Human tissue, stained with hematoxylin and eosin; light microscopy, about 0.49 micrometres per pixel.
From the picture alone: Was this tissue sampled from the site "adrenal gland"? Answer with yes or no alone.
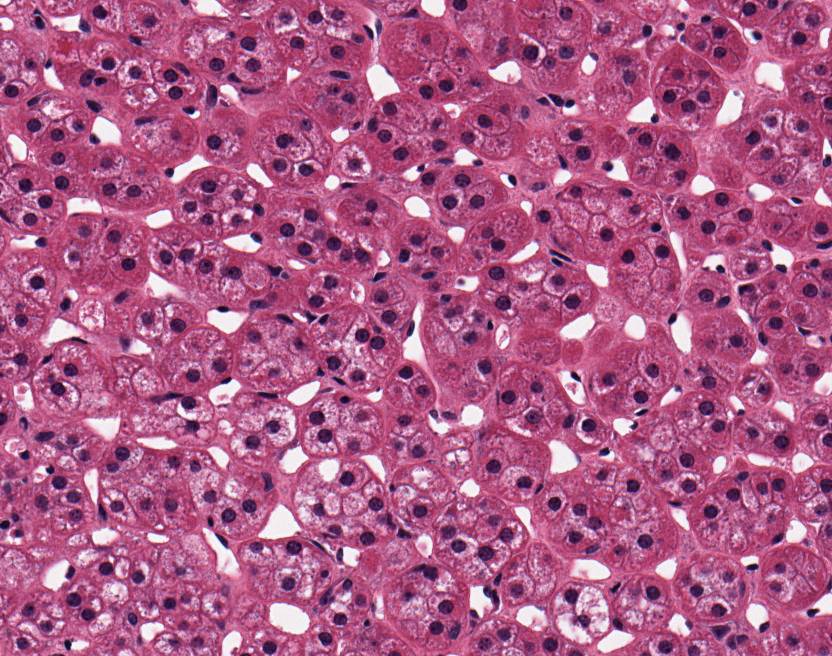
yes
